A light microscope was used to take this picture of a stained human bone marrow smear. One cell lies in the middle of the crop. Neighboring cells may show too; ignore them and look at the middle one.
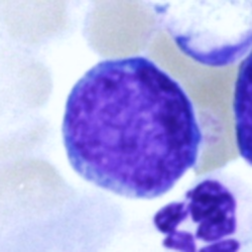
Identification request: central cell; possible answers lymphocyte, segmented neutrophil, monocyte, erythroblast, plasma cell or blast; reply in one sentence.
The cell found in the middle of this crop is a blast.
